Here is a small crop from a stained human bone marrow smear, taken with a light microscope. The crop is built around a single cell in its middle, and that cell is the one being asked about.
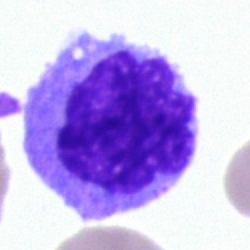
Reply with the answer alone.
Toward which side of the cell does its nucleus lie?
right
